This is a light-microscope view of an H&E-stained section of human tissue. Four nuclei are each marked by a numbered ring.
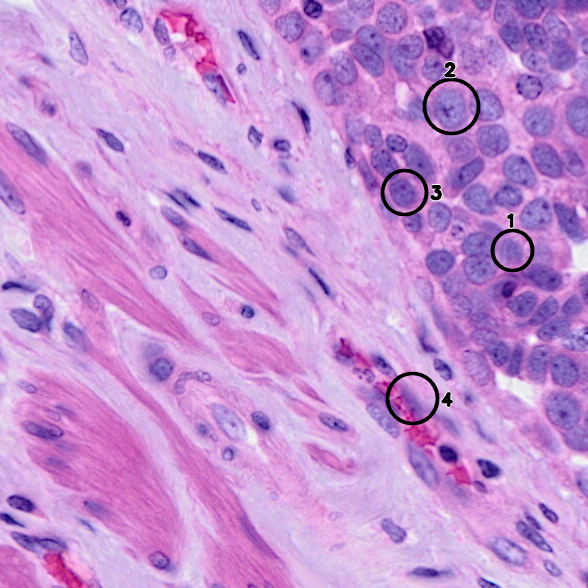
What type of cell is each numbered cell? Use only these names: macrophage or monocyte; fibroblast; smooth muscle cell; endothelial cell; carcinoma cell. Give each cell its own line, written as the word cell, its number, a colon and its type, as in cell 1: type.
cell 1: carcinoma cell
cell 2: carcinoma cell
cell 3: carcinoma cell
cell 4: endothelial cell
